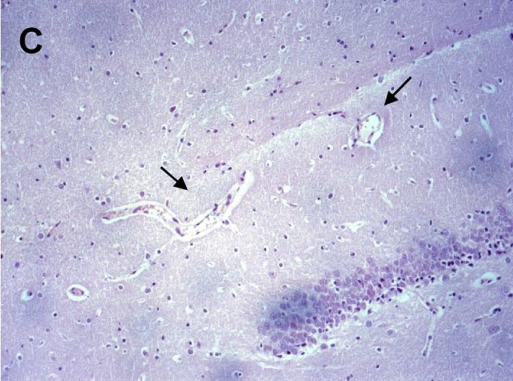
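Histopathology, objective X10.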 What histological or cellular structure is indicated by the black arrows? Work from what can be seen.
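The channels are lined by thin walls with a few flat nuclei. The answer: blood vessels.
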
